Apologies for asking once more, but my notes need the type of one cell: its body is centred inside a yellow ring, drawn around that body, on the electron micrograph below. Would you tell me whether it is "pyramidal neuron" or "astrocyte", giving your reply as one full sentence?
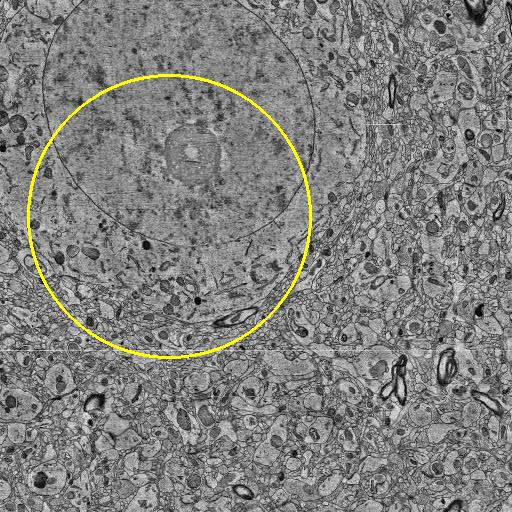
The cell that the yellow ring is centred on is a pyramidal neuron in this micrograph.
